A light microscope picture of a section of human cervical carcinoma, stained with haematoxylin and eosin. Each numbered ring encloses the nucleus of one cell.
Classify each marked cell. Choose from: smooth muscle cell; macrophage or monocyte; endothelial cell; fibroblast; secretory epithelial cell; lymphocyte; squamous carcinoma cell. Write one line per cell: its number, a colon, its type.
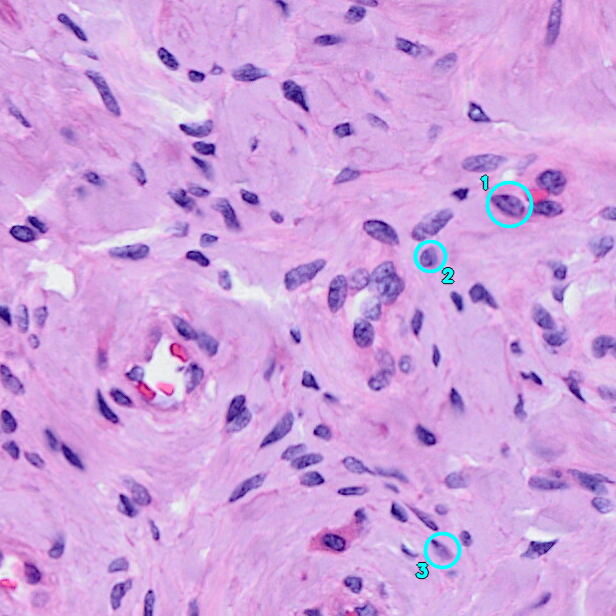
1: endothelial cell
2: fibroblast
3: fibroblast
